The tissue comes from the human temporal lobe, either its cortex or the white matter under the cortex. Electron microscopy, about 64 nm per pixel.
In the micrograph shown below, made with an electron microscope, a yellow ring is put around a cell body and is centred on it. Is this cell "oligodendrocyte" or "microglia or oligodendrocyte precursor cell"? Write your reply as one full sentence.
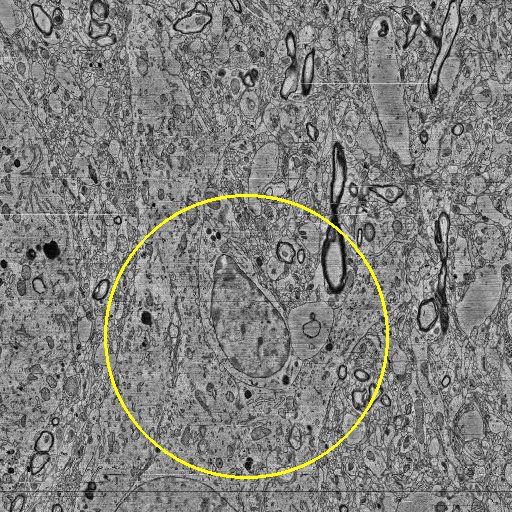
In the micrograph, a microglial cell or oligodendrocyte precursor cell is the cell at the centre of the yellow ring.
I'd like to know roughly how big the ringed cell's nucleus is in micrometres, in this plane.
About 7 by 5 micrometers for the nucleus, in this plane.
